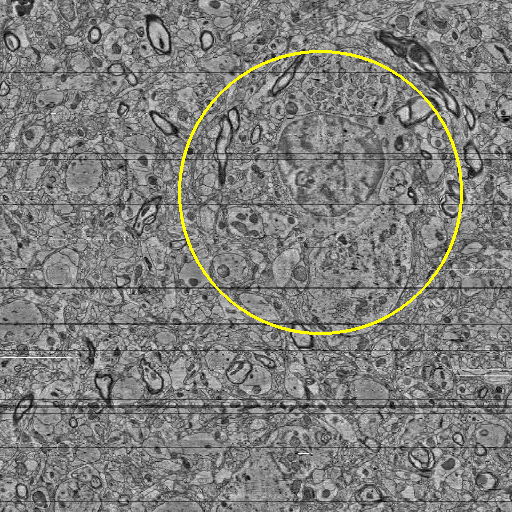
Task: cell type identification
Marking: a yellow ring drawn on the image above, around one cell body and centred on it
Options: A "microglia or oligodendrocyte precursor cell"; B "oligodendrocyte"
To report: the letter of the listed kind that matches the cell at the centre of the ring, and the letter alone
B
